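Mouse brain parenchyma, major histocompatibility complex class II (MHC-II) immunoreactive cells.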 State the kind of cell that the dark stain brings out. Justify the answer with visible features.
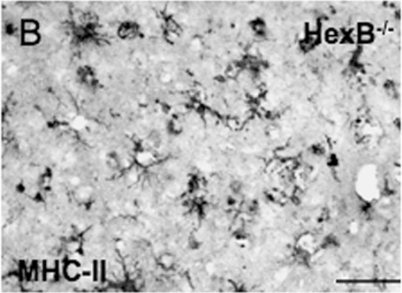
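Myeloid-derived immune cells. Scattered darkly stained cells with small bodies and short branched processes. The stained cells are distributed across the whole field of brain tissue.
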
